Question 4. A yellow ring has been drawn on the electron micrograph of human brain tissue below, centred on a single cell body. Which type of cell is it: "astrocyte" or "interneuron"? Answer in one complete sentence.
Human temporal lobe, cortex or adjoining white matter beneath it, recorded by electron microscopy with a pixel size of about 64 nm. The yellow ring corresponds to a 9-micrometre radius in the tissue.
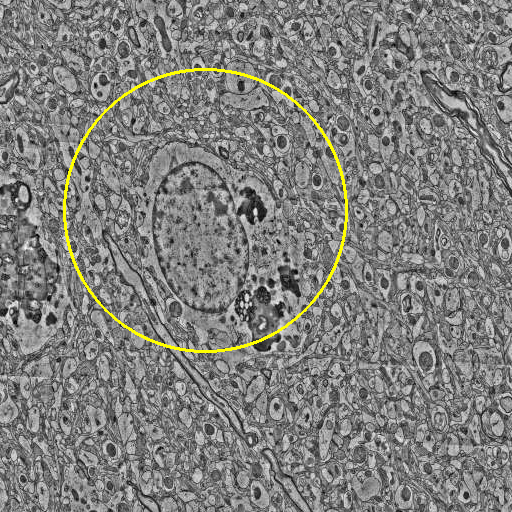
This cell body belongs to an astrocyte.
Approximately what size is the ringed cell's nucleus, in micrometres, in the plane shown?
The nucleus is about 10 micrometres in length and 6 in width, clearly longer than it is wide in this plane.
